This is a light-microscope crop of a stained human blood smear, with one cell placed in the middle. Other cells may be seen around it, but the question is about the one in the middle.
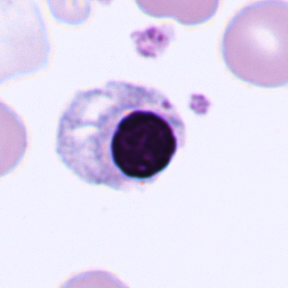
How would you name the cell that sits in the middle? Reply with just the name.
normoblast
